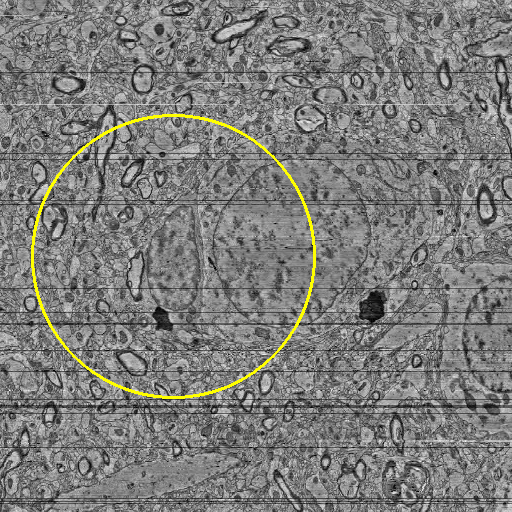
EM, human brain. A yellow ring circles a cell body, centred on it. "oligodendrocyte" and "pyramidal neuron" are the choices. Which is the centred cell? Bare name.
oligodendrocyte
